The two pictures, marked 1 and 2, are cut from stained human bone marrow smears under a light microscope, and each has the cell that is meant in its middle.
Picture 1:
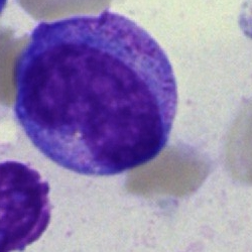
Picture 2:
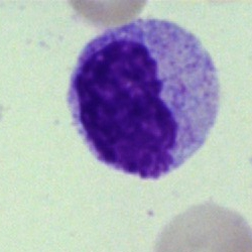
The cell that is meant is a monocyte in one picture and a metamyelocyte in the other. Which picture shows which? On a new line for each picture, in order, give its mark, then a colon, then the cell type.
1: monocyte
2: metamyelocyte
